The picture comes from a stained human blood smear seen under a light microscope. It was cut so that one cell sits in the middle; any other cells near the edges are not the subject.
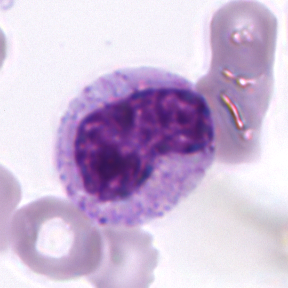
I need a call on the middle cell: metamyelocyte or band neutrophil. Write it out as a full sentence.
By type, the central cell of the crop is a metamyelocyte.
